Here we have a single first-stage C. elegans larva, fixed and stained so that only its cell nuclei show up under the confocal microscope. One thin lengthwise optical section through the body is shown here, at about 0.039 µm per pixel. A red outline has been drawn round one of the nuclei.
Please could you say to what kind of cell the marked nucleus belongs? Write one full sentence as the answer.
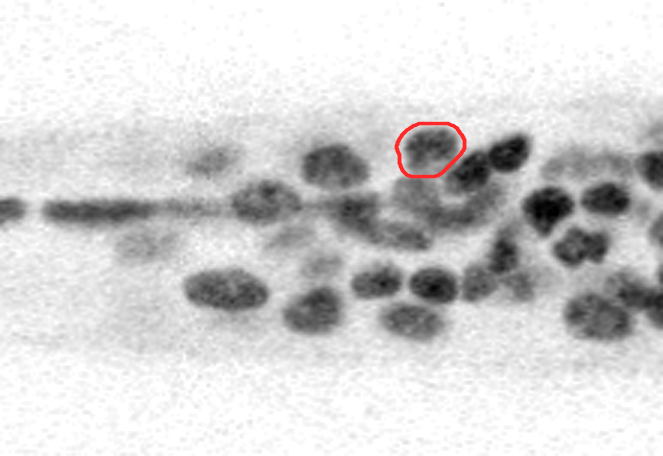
The marked nucleus belongs to a body wall muscle cell.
